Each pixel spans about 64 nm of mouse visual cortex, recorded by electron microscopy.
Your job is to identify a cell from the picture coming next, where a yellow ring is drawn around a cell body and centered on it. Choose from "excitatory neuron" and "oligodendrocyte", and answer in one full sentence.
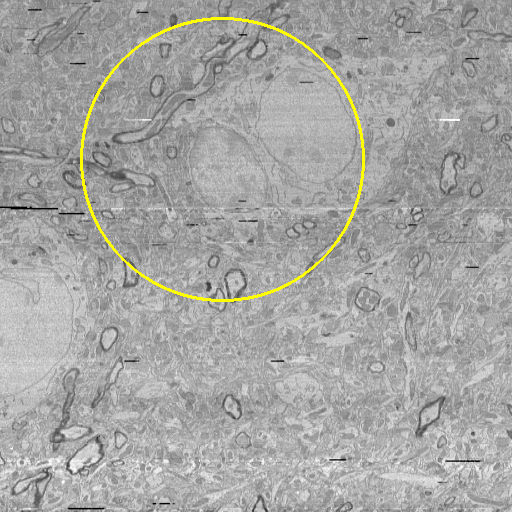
Centered in the yellow ring of the picture is the body of an oligodendrocyte.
